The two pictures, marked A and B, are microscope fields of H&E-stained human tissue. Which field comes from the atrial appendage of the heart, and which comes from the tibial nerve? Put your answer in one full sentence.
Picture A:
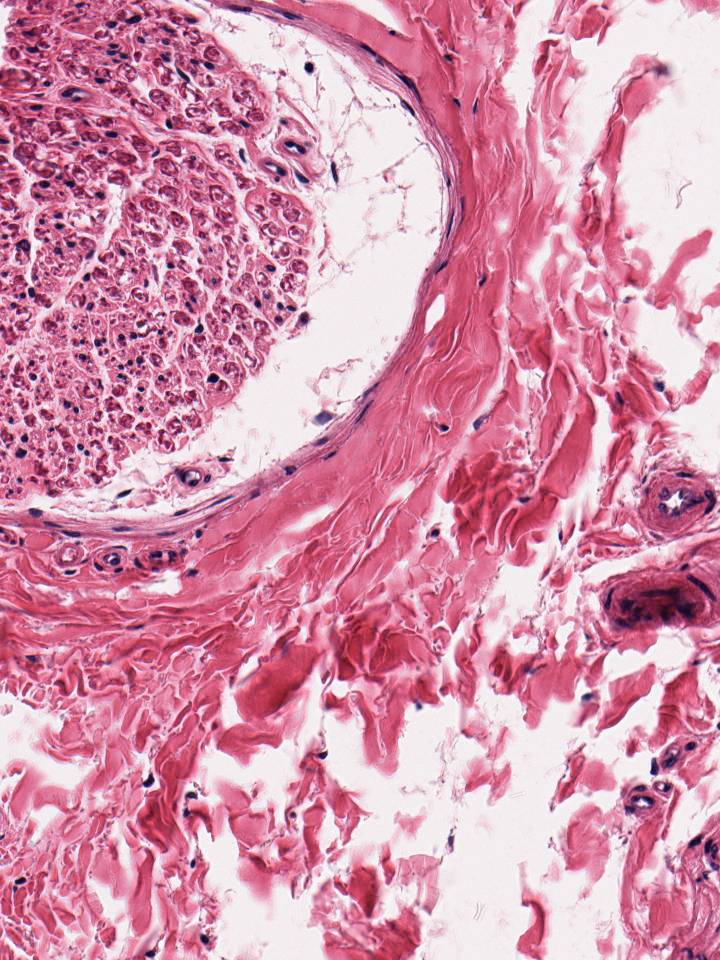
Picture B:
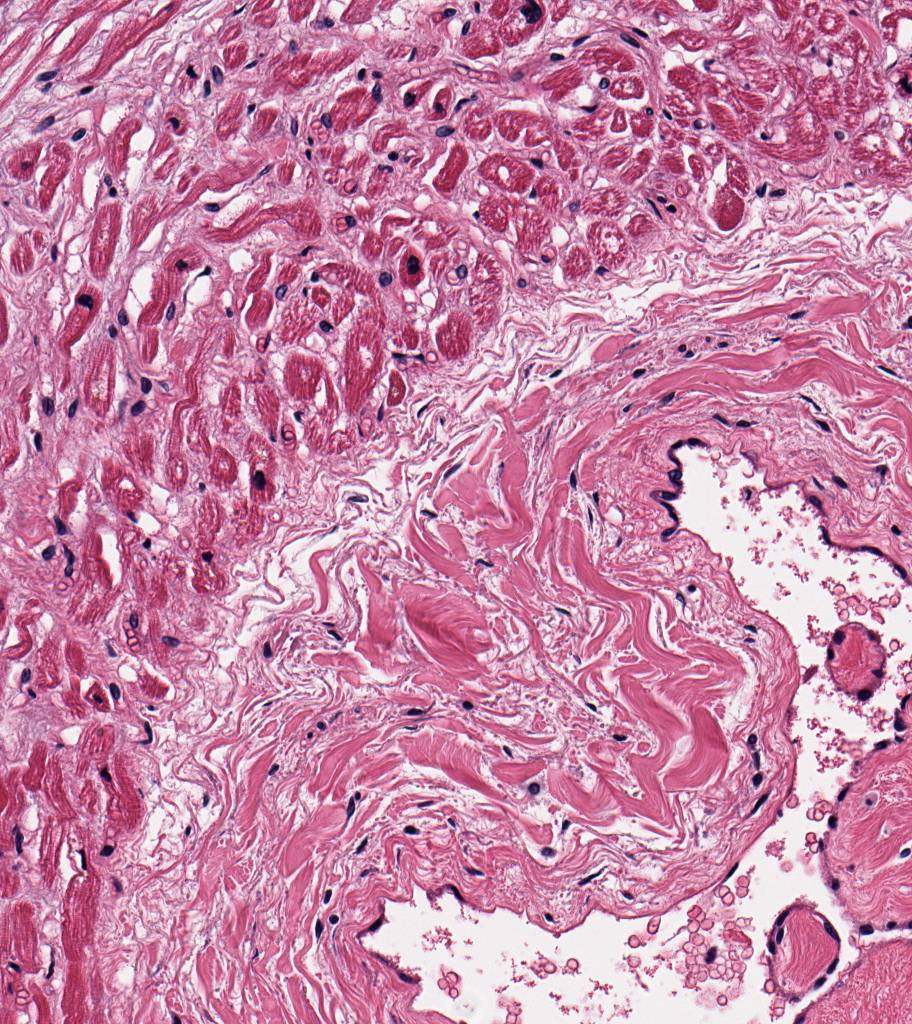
Picture A comes from the tibial nerve and picture B comes from the atrial appendage of the heart.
